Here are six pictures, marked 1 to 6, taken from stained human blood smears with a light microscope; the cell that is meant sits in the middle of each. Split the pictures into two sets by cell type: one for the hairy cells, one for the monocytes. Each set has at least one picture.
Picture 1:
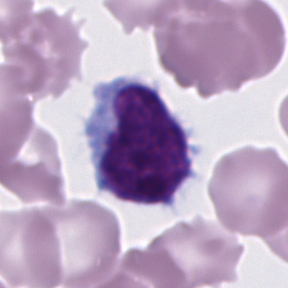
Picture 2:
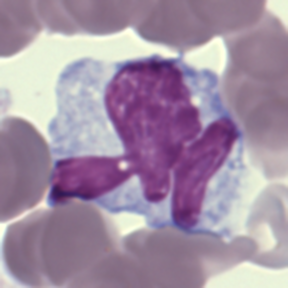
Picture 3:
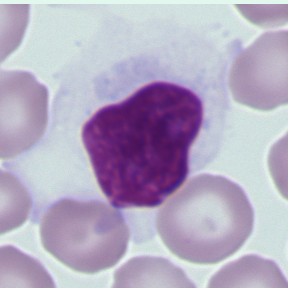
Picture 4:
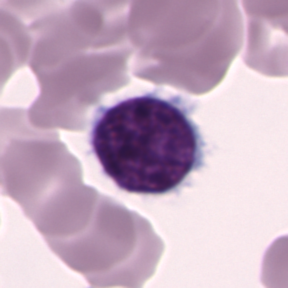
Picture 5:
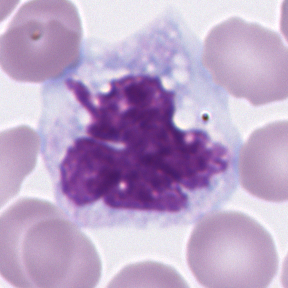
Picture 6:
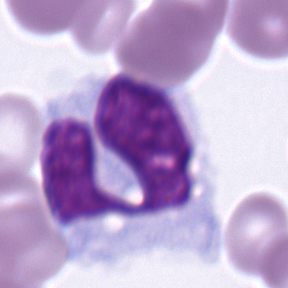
1: hairy cell
2: monocyte
3: hairy cell
4: hairy cell
5: monocyte
6: monocyte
